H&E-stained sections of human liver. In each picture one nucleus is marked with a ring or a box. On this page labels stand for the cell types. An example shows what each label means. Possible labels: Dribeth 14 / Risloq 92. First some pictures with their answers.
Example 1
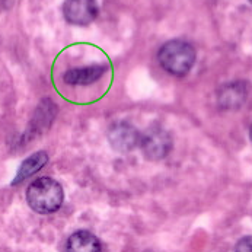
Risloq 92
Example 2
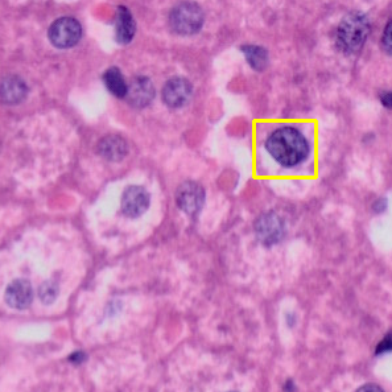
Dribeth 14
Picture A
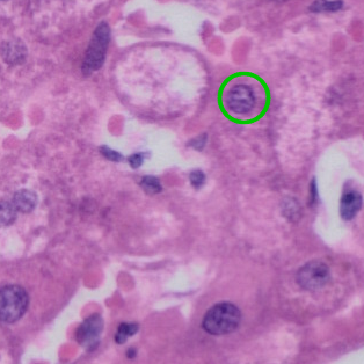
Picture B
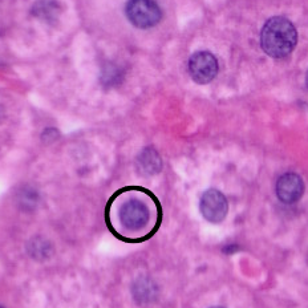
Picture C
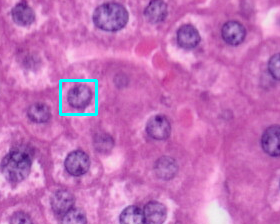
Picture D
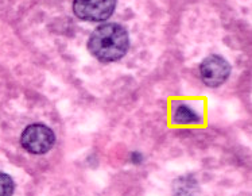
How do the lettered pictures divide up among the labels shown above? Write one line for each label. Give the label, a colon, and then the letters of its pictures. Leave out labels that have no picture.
Dribeth 14: A, B, C
Risloq 92: D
